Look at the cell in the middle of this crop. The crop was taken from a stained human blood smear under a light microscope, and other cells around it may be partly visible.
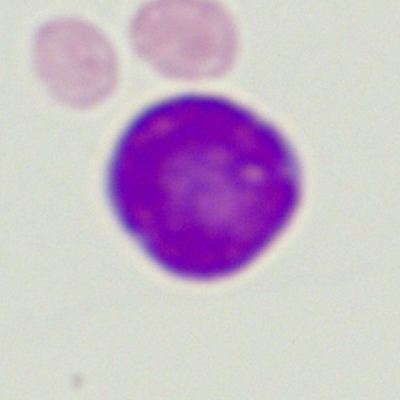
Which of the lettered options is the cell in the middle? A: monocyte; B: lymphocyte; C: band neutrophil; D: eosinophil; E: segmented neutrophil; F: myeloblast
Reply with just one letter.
F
